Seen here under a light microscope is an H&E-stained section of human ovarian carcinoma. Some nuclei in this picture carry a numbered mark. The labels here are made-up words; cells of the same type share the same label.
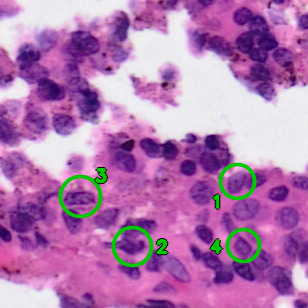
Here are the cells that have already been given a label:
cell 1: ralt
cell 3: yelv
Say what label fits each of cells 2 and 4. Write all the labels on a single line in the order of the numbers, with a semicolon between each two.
ralt; ralt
